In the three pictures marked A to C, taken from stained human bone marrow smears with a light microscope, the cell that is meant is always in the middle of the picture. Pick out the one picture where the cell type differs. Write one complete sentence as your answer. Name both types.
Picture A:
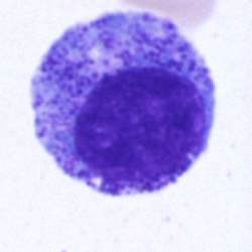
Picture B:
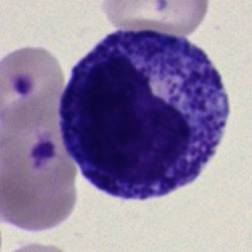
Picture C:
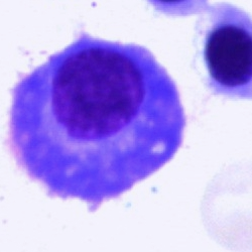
The different one is picture C; it shows a plasma cell, whereas all the others show promyelocytes.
